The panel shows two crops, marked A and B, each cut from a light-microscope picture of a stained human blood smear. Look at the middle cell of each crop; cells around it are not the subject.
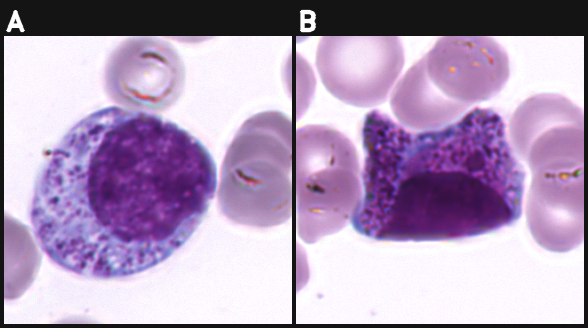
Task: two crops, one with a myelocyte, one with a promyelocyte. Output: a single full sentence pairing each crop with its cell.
Crop A displays a myelocyte, and crop B displays a promyelocyte.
